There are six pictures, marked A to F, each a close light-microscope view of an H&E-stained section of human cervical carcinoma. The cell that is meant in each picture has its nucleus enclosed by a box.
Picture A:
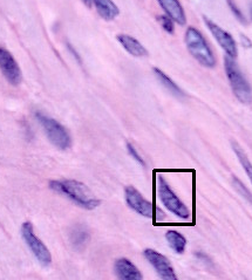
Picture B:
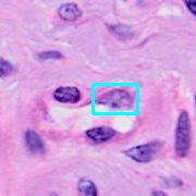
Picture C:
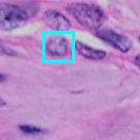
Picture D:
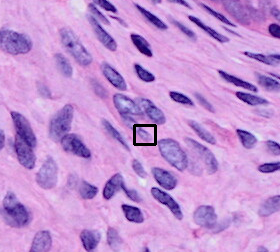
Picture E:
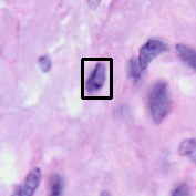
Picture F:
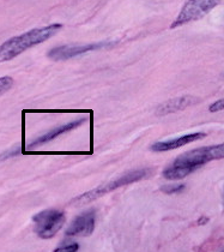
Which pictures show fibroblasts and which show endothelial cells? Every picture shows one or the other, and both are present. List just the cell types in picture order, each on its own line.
fibroblast
endothelial cell
endothelial cell
endothelial cell
fibroblast
fibroblast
